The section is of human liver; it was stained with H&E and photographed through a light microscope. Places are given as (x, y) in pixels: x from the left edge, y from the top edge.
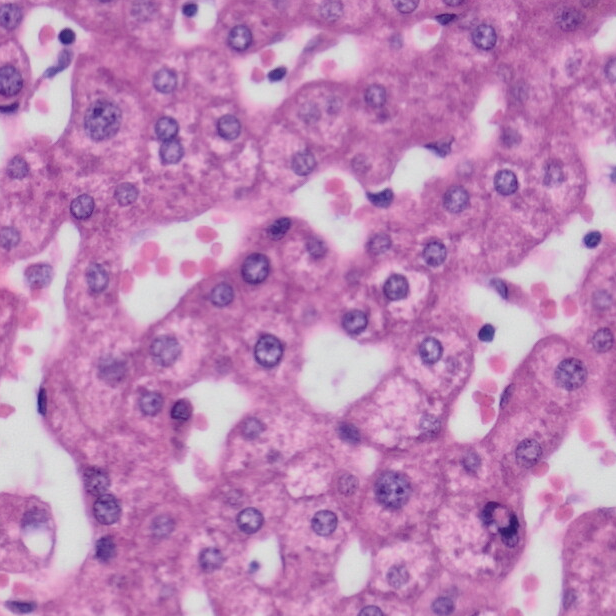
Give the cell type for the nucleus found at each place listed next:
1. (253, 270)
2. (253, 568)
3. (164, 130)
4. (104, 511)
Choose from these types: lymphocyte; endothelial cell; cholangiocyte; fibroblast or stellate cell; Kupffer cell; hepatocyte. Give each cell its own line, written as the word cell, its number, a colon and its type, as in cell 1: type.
cell 1: hepatocyte
cell 2: lymphocyte
cell 3: hepatocyte
cell 4: hepatocyte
